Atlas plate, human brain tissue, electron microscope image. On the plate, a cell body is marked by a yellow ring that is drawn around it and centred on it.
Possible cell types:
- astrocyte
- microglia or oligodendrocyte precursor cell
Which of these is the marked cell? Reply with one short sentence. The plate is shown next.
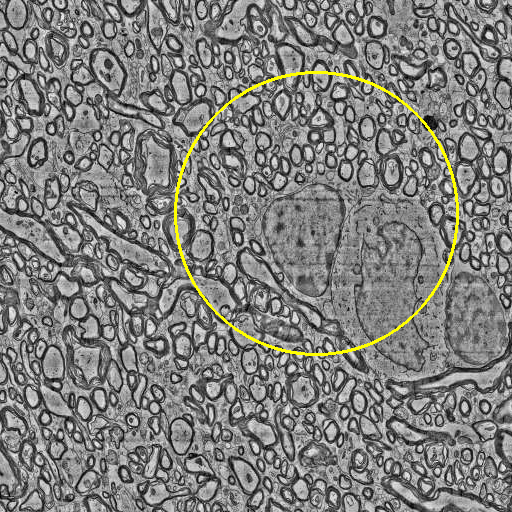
The marked cell is a microglial cell or oligodendrocyte precursor cell.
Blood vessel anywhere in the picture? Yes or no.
No, the image shows no blood vessel.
